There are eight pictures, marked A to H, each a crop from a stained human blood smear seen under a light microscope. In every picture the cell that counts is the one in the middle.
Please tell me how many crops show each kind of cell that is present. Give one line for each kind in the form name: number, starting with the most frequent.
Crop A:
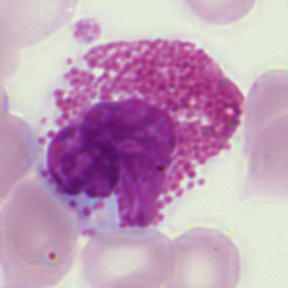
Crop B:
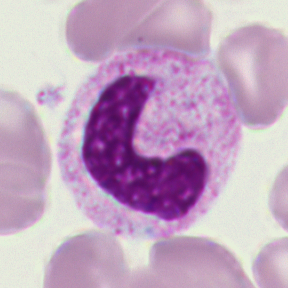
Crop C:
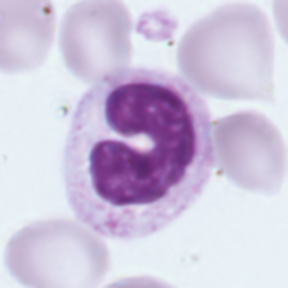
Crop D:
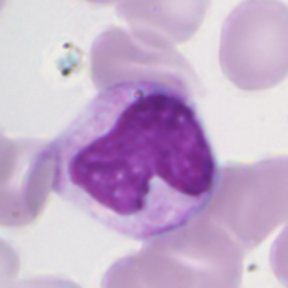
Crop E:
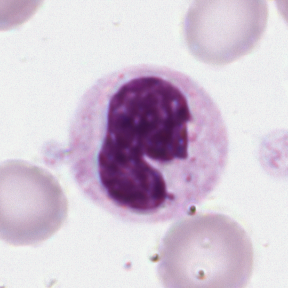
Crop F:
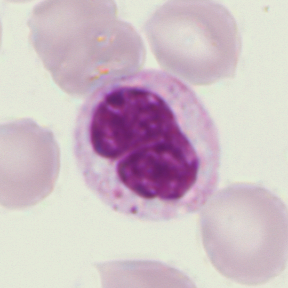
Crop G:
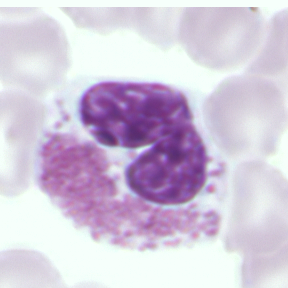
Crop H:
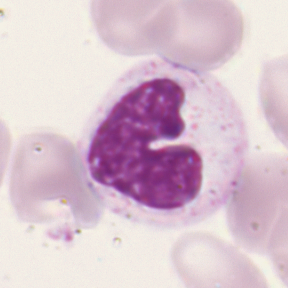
band neutrophil: 6
eosinophil: 2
